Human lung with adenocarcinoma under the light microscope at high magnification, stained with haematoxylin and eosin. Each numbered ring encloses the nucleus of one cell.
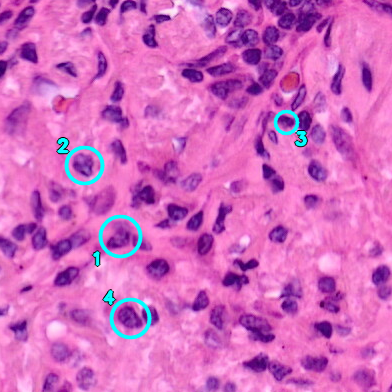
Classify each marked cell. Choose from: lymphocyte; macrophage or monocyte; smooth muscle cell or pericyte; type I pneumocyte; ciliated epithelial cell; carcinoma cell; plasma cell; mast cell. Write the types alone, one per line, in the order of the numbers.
plasma cell
lymphocyte
lymphocyte
plasma cell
